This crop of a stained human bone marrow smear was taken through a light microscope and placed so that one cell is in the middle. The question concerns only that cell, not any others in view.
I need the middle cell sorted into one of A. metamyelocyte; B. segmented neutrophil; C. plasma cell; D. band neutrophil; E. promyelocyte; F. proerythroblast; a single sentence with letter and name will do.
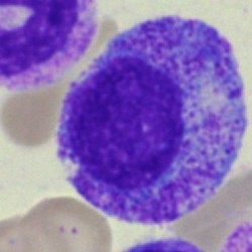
Option E stands as correct, the central cell being a promyelocyte.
